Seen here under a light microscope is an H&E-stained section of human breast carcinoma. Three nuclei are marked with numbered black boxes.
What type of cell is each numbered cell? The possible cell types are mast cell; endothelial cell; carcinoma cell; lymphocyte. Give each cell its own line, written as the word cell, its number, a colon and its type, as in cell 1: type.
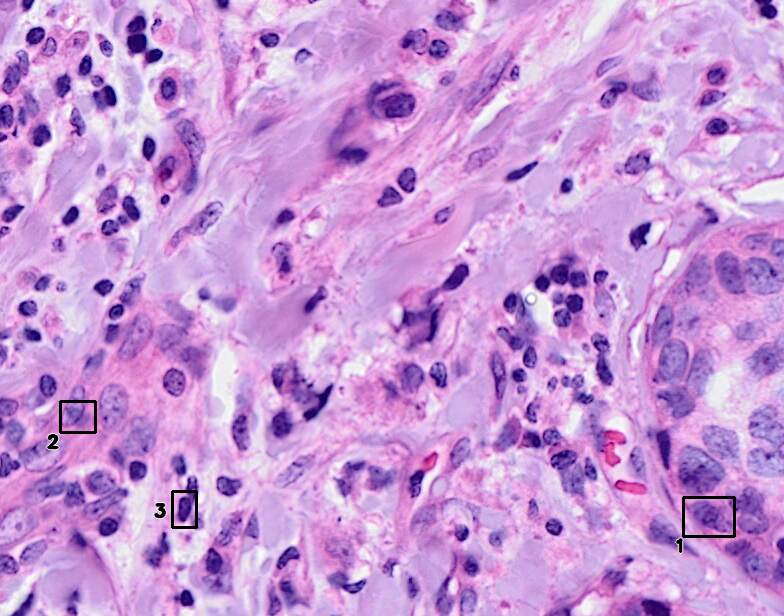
cell 1: carcinoma cell
cell 2: endothelial cell
cell 3: lymphocyte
